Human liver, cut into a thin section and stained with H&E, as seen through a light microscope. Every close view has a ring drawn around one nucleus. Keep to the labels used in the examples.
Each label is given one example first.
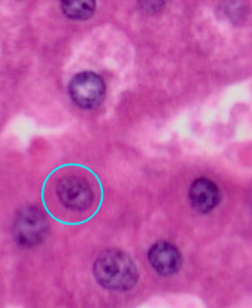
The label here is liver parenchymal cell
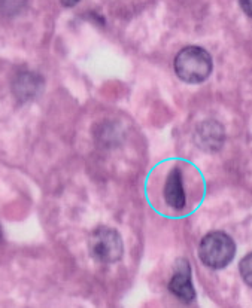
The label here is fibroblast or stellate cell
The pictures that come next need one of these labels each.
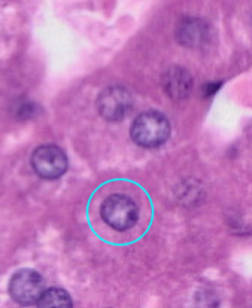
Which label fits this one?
liver parenchymal cell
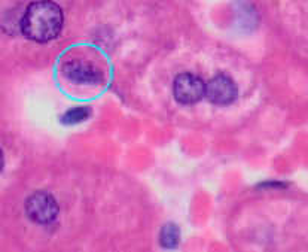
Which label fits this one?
fibroblast or stellate cell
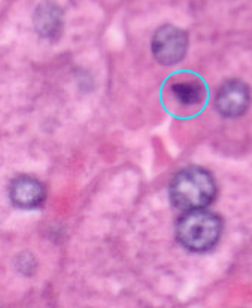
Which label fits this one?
fibroblast or stellate cell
